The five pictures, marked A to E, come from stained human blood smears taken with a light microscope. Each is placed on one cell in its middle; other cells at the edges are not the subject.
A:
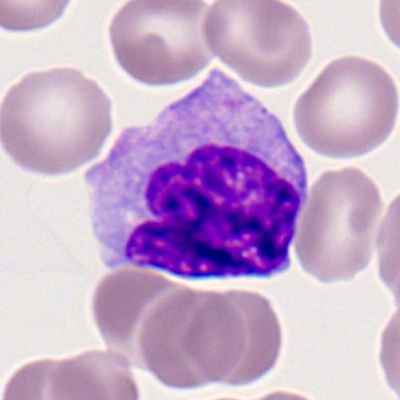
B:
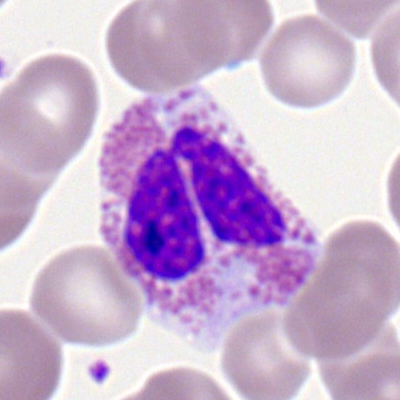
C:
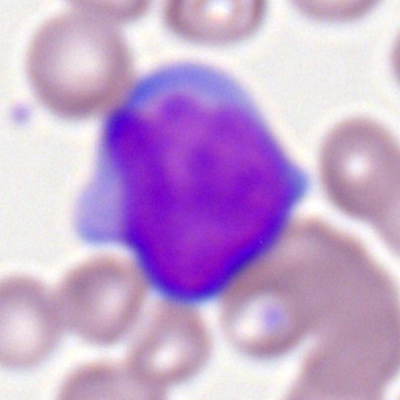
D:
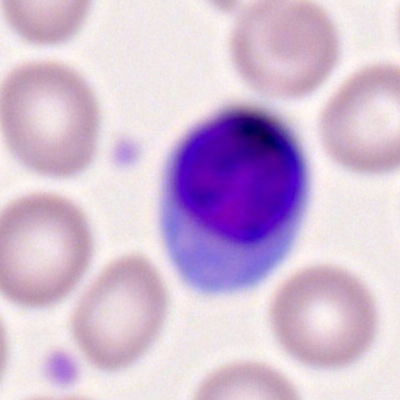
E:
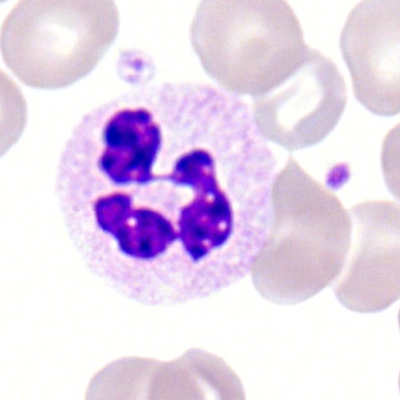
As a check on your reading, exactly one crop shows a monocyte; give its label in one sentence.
Identified crop: A, the one that shows a monocyte.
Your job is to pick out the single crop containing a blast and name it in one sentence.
Crop C, and no other, is the one that shows a blast.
